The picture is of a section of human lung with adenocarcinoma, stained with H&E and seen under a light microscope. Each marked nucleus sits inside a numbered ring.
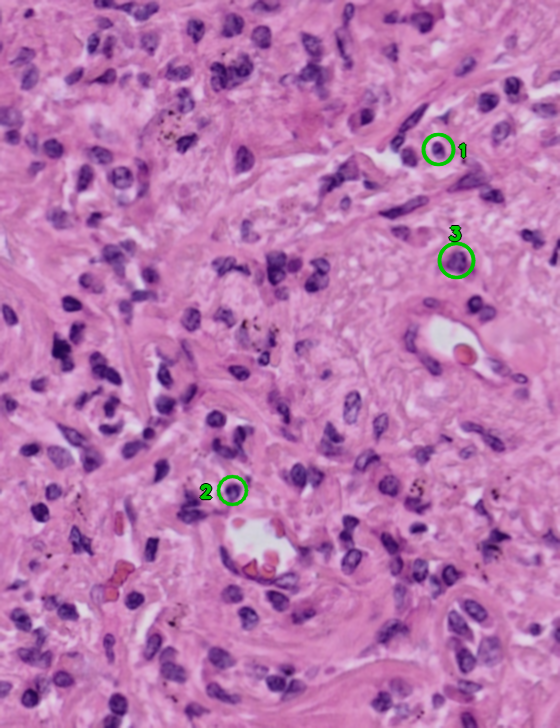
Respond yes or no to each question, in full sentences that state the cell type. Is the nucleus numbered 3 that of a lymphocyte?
No, the cell bearing the number 3 is a plasma cell, not a lymphocyte.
